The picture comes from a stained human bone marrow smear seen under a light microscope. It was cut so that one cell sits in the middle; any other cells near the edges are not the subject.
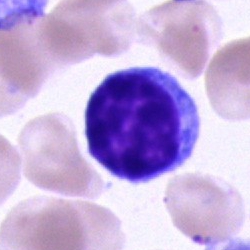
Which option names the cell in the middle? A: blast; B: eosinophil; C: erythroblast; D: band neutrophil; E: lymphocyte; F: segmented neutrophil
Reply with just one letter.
E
